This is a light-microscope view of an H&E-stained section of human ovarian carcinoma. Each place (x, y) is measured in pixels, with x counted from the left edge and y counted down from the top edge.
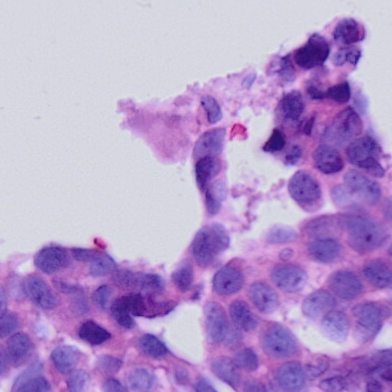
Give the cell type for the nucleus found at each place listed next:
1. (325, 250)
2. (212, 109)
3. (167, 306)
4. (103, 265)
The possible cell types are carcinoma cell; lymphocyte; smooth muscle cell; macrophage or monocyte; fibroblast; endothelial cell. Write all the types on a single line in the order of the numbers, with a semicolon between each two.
carcinoma cell; macrophage or monocyte; carcinoma cell; carcinoma cell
